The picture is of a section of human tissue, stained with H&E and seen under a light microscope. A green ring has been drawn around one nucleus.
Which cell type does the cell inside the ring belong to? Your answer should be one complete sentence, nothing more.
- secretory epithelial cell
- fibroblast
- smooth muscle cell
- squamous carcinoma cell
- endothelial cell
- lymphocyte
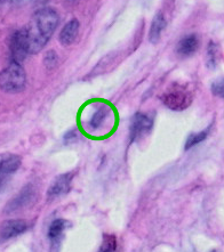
In terms of identity, the cell inside the ring is a fibroblast.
